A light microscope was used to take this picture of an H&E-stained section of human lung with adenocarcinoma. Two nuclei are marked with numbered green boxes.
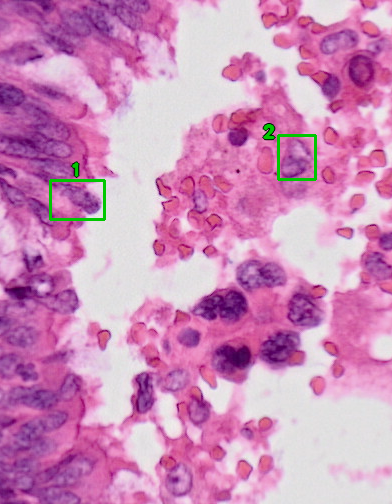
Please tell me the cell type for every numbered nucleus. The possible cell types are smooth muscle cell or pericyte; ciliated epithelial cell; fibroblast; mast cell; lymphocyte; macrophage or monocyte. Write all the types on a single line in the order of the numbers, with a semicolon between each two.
ciliated epithelial cell; macrophage or monocyte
